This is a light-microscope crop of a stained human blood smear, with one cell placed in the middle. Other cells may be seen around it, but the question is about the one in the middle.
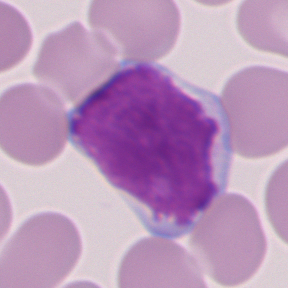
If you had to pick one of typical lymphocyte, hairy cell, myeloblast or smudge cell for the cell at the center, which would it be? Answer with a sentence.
The cell at the central position in this crop is a typical lymphocyte.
